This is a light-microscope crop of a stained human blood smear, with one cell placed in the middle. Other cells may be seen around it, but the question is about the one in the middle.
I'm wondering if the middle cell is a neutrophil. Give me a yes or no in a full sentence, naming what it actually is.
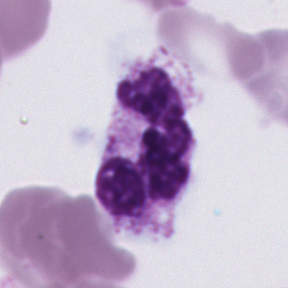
Yes, the identification of the central cell as a neutrophil is correct.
